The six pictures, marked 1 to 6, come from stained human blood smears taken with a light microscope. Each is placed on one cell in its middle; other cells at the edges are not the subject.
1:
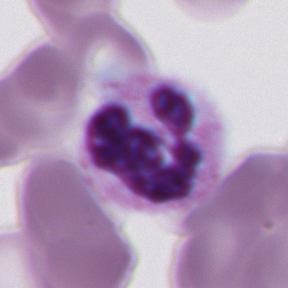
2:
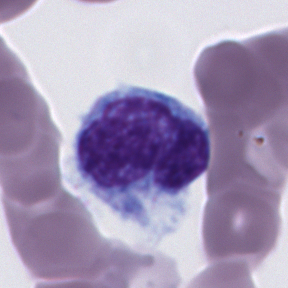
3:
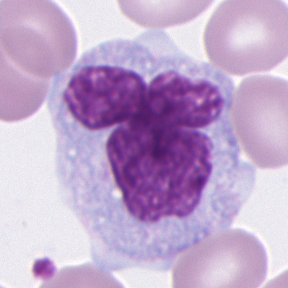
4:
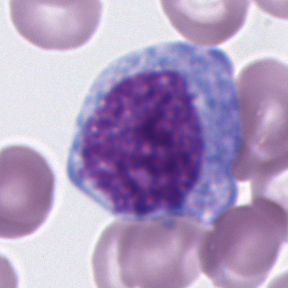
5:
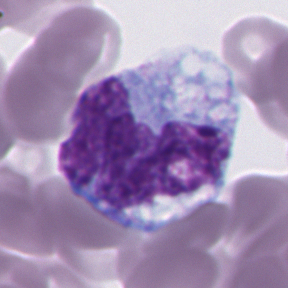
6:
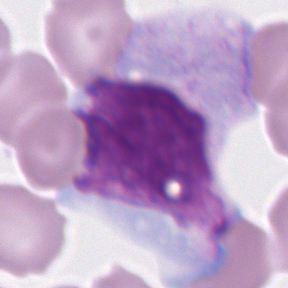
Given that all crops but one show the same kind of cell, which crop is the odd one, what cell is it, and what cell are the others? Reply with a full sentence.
In contrast to the other crops, all of which show monocytes, crop 1 shows a neutrophil.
